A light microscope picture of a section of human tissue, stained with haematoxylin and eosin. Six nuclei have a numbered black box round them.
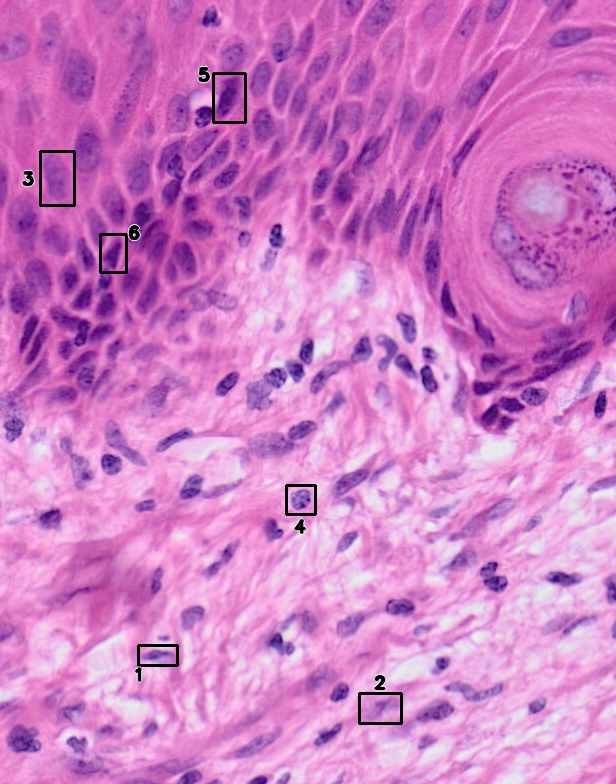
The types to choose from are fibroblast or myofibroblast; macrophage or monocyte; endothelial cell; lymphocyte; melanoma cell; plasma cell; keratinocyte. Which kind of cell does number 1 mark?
fibroblast or myofibroblast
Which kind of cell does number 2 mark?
fibroblast or myofibroblast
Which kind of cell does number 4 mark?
lymphocyte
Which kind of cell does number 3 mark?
keratinocyte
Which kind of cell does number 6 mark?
keratinocyte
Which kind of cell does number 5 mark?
keratinocyte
